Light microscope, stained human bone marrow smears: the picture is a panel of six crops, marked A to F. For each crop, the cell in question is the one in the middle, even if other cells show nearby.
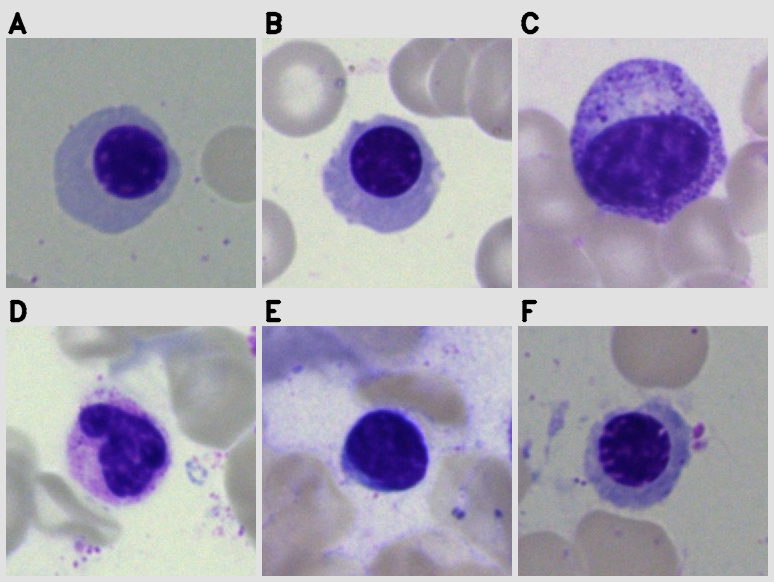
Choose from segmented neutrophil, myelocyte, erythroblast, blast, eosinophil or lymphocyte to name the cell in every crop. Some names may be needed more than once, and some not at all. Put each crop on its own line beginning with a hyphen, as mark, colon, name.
- A: erythroblast
- B: erythroblast
- C: myelocyte
- D: segmented neutrophil
- E: lymphocyte
- F: erythroblast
